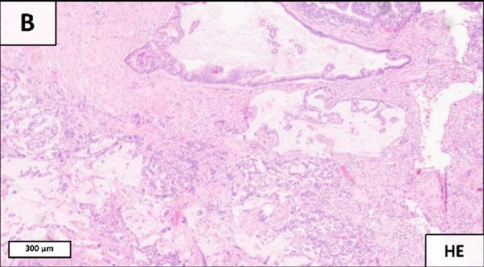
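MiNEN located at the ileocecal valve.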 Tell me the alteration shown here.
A: mucinous differentiation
